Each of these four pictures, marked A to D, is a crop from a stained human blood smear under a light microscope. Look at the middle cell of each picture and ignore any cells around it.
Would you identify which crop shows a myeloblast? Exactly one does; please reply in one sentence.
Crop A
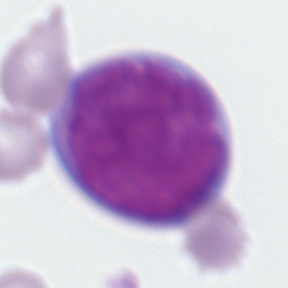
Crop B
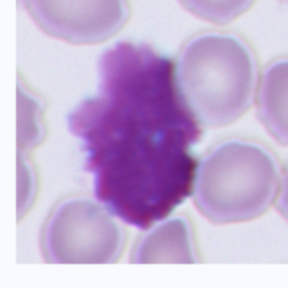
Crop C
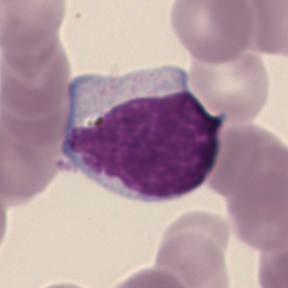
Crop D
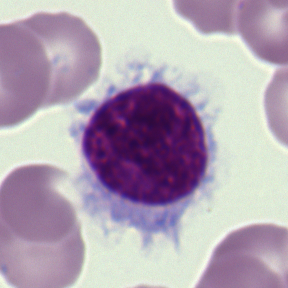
Crop A is the one in the set with a myeloblast at the center.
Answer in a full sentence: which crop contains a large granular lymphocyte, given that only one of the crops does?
As for which crop shows a large granular lymphocyte, it is crop C.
